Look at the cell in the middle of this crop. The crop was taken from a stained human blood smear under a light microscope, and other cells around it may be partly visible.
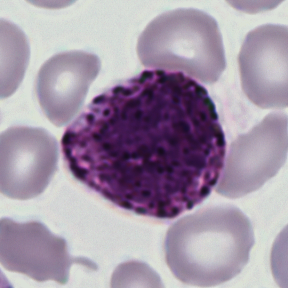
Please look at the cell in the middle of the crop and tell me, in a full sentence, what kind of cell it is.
The middle position in this crop is taken by a basophil.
